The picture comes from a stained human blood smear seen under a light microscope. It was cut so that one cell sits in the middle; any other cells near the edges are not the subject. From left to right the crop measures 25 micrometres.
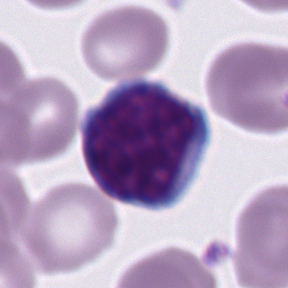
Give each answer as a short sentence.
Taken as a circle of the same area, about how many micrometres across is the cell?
It measures about 11 micrometres across.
